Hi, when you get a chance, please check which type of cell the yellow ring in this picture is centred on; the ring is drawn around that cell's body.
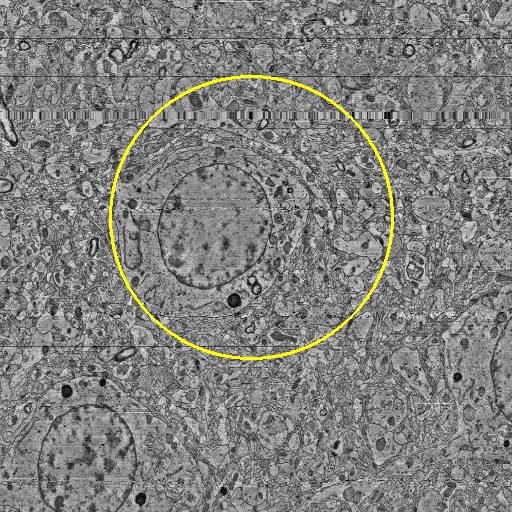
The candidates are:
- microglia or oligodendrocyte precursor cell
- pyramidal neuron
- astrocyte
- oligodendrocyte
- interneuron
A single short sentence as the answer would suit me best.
The ring is drawn around the body of a pyramidal neuron.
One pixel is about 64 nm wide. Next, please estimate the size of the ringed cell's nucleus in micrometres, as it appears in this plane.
The nucleus measures about 8 by 7 micrometres in this plane.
